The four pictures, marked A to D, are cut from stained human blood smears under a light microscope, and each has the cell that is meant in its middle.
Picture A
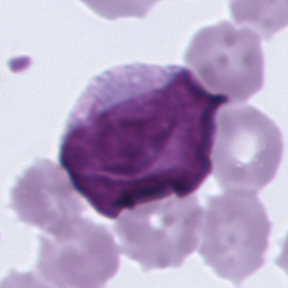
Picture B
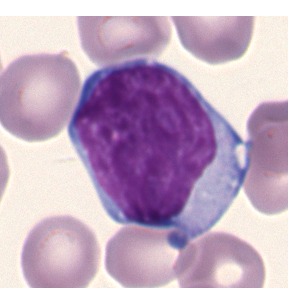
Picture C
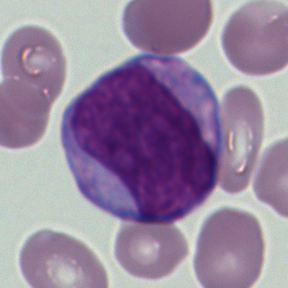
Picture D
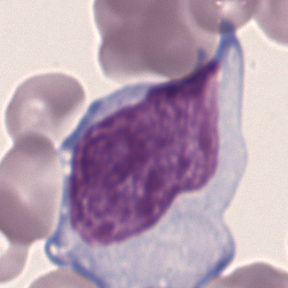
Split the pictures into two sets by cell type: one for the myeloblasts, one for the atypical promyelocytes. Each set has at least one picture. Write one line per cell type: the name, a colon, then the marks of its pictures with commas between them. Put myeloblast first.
myeloblast: A, B, D
atypical promyelocyte: C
